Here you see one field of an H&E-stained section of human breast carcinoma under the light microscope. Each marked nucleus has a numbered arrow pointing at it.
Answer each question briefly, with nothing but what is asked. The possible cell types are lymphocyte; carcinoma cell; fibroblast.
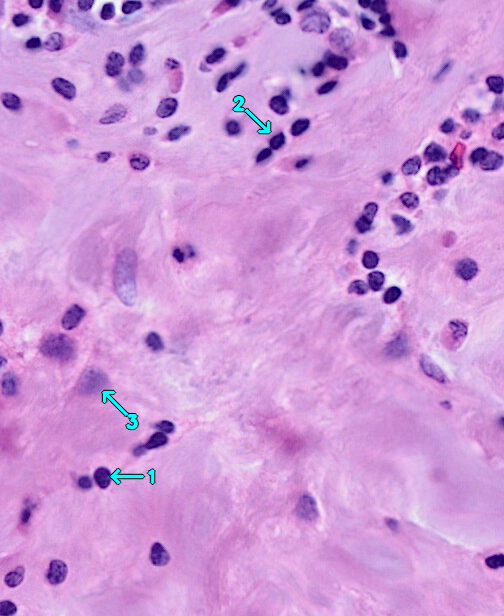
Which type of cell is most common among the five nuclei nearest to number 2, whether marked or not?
lymphocyte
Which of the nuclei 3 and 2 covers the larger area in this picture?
3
